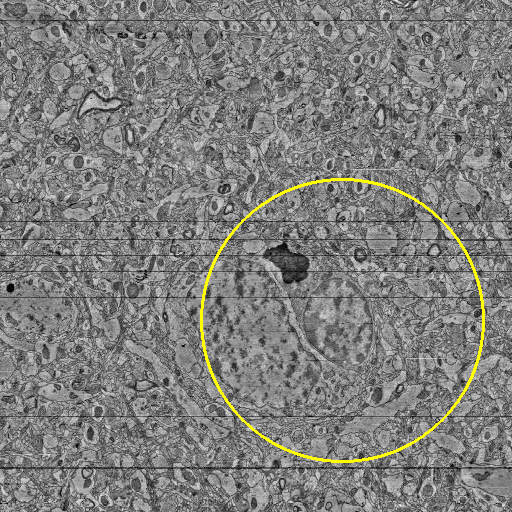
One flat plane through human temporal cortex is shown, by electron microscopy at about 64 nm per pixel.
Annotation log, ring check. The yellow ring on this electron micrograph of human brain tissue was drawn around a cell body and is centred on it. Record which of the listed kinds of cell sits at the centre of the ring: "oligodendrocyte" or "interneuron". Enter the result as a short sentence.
The cell at the centre of the ring is an oligodendrocyte.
